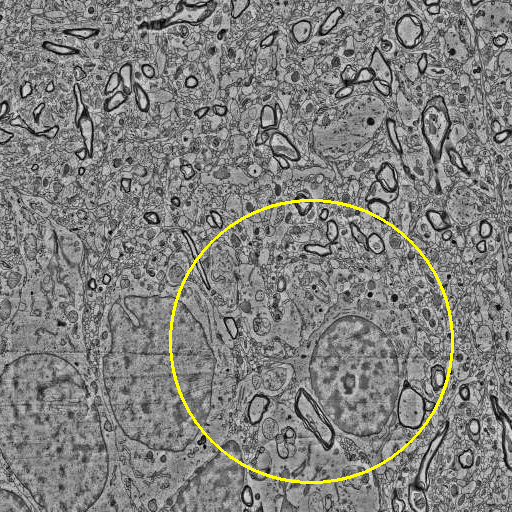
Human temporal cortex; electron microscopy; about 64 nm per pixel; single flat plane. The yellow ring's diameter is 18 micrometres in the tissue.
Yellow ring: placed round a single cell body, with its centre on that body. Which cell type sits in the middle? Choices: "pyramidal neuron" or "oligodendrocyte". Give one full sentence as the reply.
It is a pyramidal neuron whose cell body sits at the centre of the yellow ring.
